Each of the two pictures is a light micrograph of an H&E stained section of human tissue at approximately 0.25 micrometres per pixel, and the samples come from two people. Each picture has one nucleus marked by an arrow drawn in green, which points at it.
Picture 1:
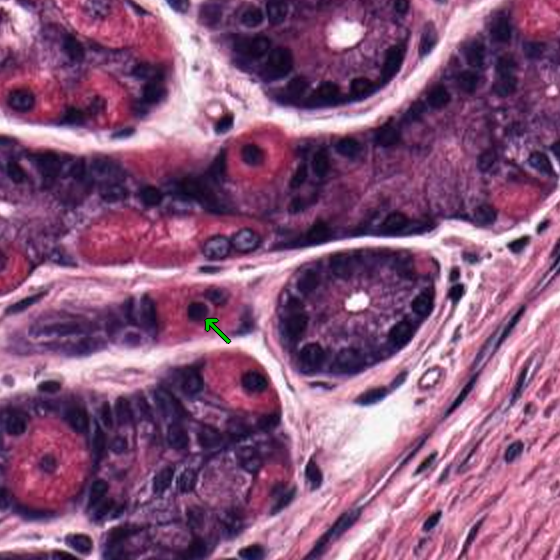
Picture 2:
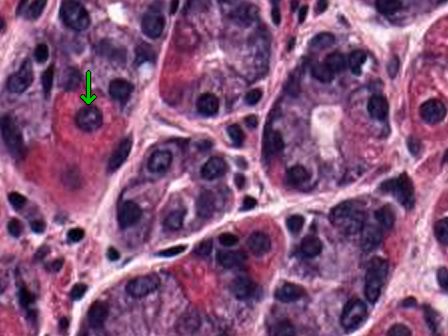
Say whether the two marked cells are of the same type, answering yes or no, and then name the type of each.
Yes, both are parietal cells.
